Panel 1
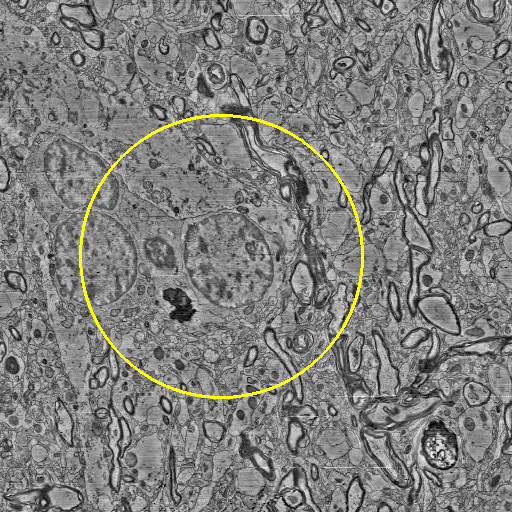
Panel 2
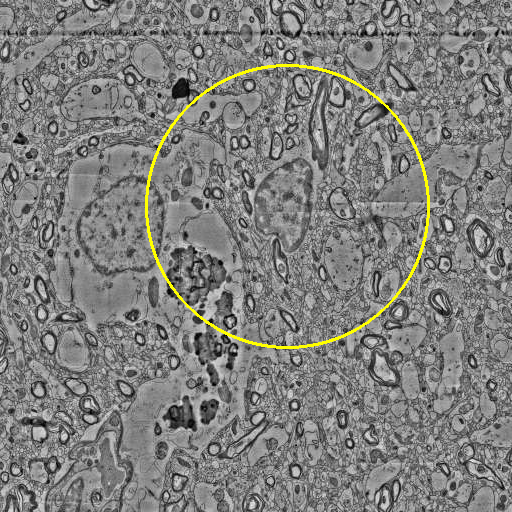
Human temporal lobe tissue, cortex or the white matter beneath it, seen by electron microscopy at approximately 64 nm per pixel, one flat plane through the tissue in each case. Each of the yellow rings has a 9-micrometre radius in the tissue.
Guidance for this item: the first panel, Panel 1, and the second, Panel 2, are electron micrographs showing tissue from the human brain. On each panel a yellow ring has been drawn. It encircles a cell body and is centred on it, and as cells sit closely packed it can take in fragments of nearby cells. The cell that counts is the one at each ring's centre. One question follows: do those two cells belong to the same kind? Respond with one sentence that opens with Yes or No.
Yes, the cells at the ring centres in Panel 1 and Panel 2 are of one kind.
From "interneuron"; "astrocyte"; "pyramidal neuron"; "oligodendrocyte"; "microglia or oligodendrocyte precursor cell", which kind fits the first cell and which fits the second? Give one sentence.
Both the first and the second picture show an oligodendrocyte in the ring.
